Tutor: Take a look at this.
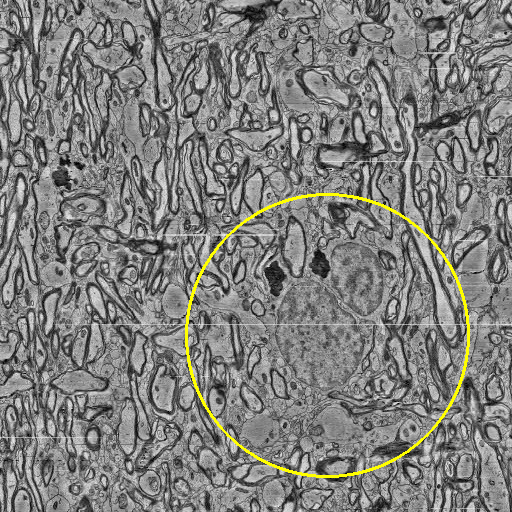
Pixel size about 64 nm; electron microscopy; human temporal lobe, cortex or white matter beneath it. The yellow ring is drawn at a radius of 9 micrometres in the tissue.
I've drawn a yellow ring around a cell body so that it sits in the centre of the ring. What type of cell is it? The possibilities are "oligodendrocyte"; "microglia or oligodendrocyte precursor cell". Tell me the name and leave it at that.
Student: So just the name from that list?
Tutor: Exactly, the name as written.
oligodendrocyte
